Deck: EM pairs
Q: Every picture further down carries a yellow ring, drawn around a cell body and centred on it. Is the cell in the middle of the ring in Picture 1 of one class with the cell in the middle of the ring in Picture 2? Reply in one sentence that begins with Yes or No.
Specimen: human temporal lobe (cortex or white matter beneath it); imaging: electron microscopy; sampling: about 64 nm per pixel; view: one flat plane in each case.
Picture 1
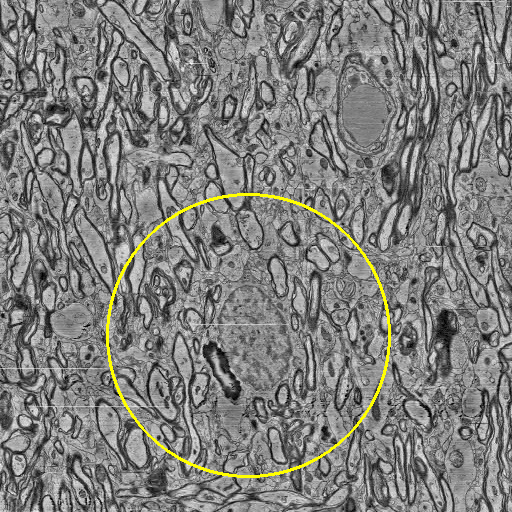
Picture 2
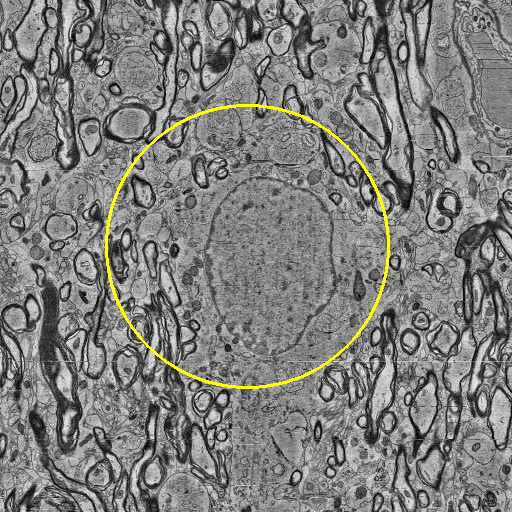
No, the cell centred in the ring of Picture 1 and the one in Picture 2 belong to separate classes.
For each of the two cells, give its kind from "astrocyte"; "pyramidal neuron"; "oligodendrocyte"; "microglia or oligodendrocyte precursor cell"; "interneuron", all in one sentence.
The first picture has an oligodendrocyte in its ring, the second has an astrocyte.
